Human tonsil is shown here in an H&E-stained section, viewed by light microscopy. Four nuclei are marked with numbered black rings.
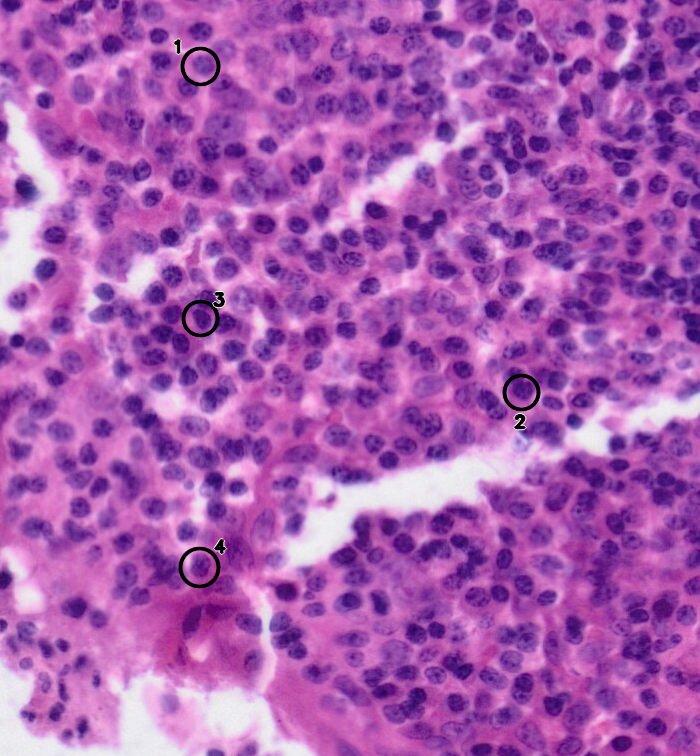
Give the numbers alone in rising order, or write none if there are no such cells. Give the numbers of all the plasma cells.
1, 2, 3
